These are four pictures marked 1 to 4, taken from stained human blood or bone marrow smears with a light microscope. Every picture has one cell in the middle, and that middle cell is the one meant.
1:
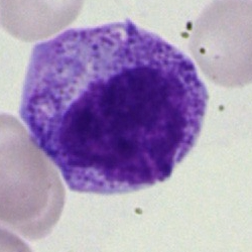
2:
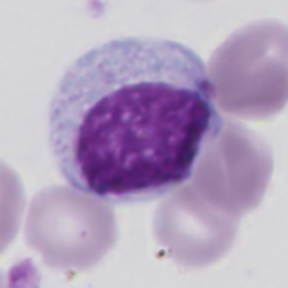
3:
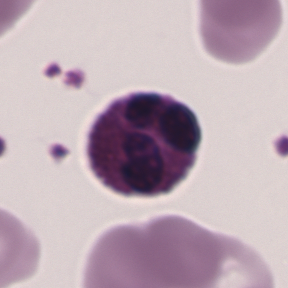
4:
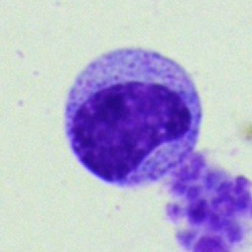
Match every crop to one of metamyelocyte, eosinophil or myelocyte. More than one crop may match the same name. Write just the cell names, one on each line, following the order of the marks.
myelocyte
myelocyte
eosinophil
metamyelocyte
